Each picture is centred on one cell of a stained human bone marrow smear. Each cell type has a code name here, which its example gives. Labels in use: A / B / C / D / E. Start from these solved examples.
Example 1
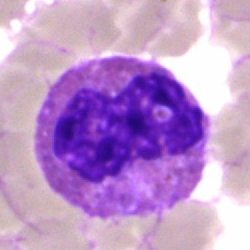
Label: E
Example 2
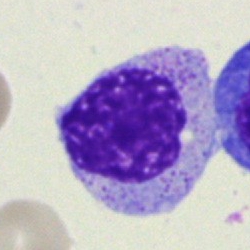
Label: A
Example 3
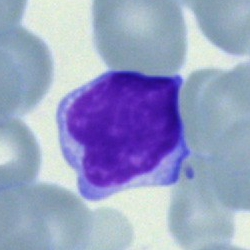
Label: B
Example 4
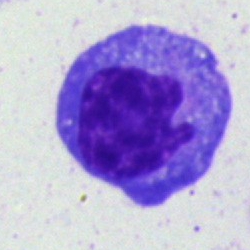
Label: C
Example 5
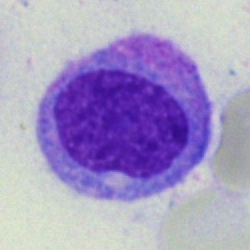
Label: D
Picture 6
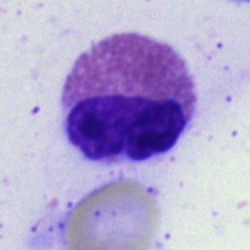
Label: E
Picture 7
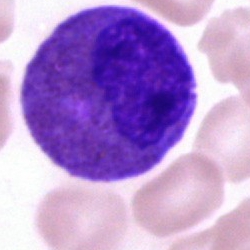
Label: E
